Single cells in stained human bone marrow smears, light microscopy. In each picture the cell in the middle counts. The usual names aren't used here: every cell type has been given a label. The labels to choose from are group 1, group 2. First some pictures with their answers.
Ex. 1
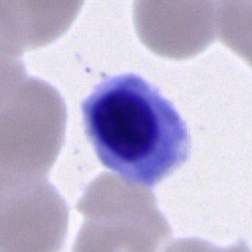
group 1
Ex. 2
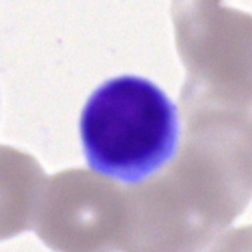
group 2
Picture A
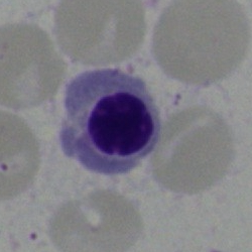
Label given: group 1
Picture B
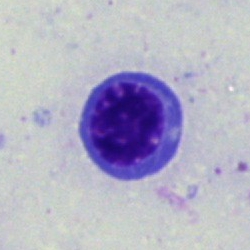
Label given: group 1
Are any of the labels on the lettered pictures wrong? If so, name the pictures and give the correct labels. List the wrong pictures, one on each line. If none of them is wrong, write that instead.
All labels are correct.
